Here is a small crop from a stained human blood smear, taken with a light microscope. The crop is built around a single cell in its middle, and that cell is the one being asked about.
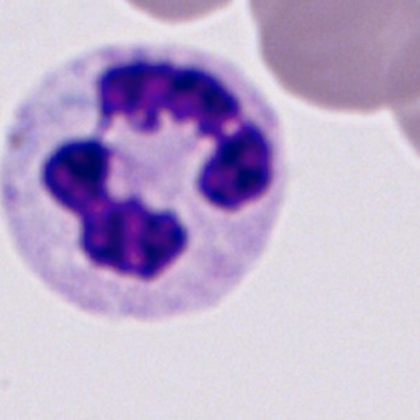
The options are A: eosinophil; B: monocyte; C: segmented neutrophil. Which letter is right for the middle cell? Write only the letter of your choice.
C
